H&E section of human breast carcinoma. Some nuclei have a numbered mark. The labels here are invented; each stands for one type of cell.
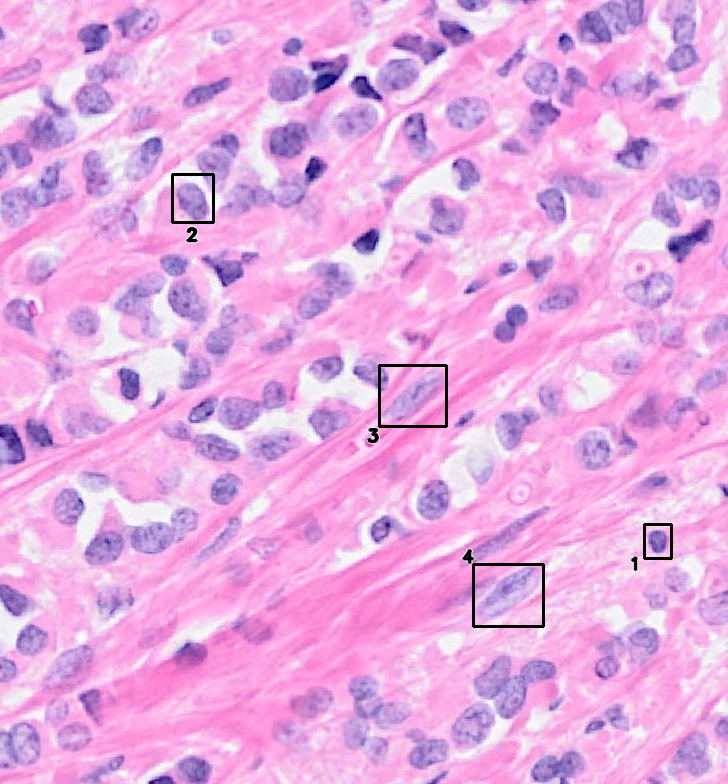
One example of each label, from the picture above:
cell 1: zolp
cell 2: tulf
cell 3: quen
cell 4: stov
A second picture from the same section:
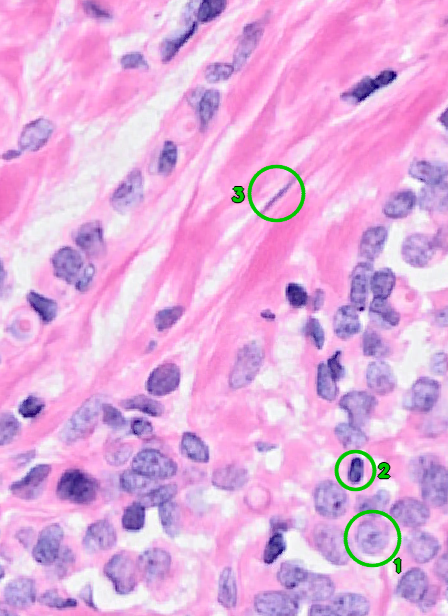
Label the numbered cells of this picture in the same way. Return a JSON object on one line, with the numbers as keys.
{"1": "tulf", "2": "zolp", "3": "stov"}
